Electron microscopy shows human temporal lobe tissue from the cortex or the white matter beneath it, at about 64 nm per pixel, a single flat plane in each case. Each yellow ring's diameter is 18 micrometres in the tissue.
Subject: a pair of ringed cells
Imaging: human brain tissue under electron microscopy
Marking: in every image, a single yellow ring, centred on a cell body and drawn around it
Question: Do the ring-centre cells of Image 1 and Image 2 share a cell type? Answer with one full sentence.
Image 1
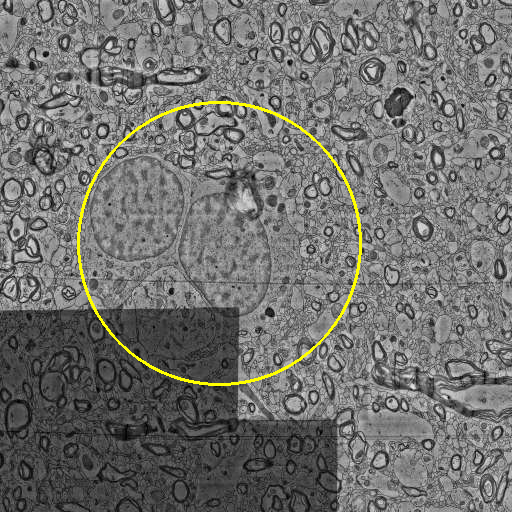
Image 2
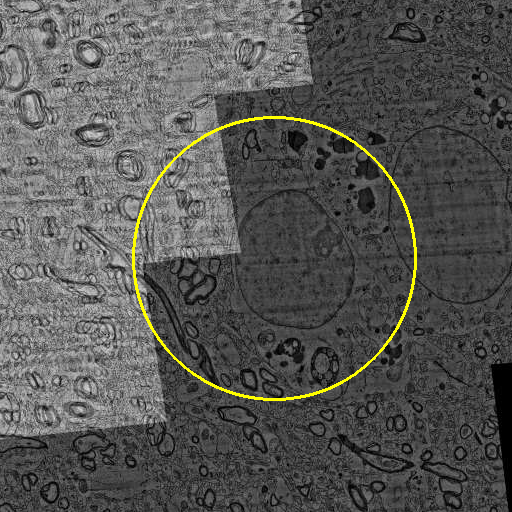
No, at the ring centres in the images sit cells of two separate types.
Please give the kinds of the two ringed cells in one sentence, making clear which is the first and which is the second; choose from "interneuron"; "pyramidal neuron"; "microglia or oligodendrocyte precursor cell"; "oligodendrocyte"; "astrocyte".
In the second picture the ringed cell is an astrocyte; in the first it is an oligodendrocyte.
